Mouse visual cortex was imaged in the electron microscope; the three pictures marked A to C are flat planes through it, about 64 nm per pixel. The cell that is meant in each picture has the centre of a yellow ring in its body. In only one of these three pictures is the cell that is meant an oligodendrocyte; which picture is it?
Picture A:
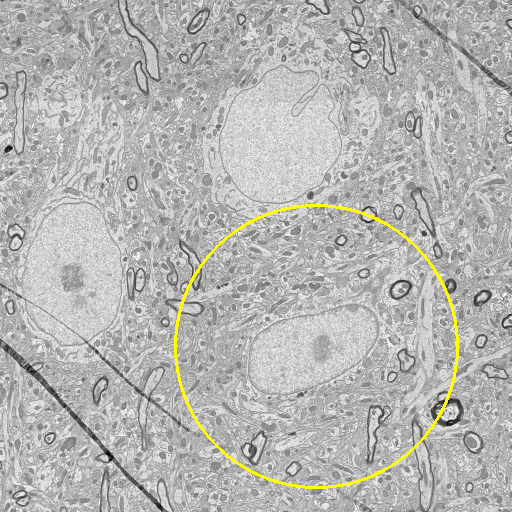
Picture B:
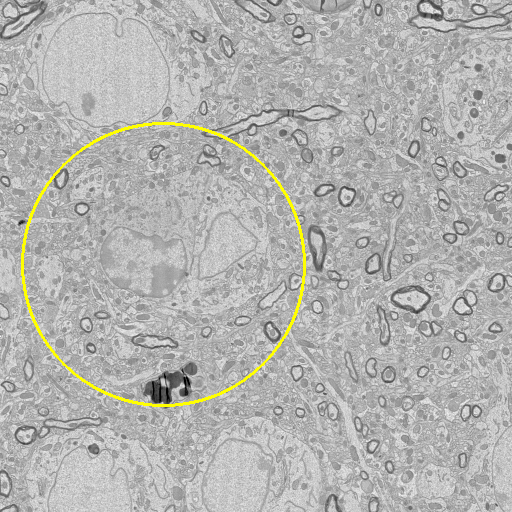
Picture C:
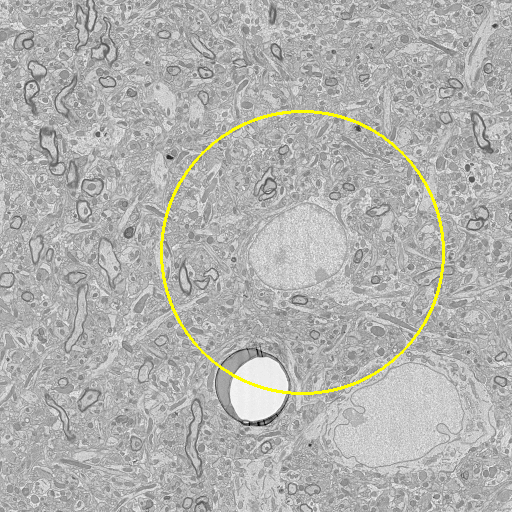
Picture B shows the oligodendrocyte.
